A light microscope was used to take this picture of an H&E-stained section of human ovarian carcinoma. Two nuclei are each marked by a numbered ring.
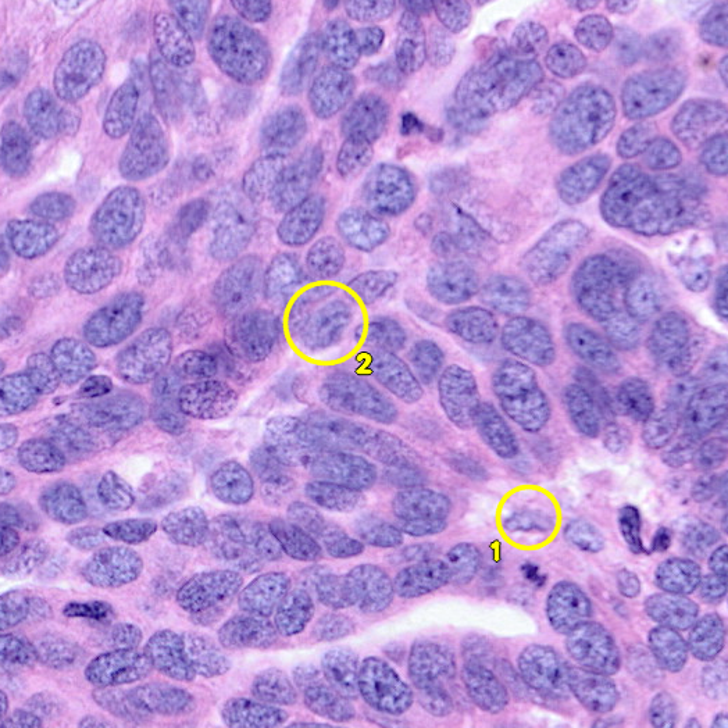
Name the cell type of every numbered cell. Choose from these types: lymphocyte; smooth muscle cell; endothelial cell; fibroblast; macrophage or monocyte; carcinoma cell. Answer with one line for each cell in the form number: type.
1: fibroblast
2: carcinoma cell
